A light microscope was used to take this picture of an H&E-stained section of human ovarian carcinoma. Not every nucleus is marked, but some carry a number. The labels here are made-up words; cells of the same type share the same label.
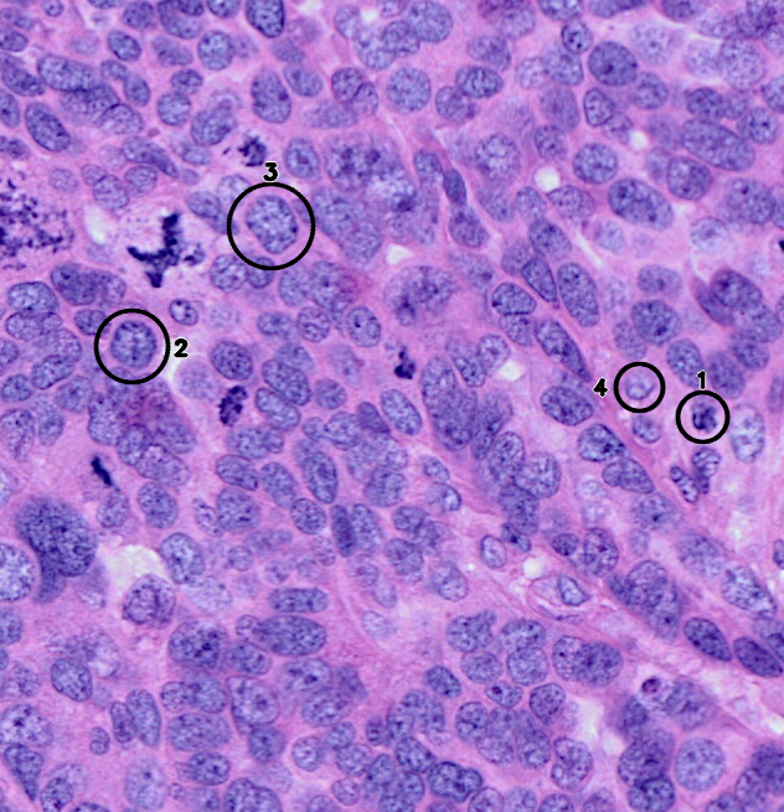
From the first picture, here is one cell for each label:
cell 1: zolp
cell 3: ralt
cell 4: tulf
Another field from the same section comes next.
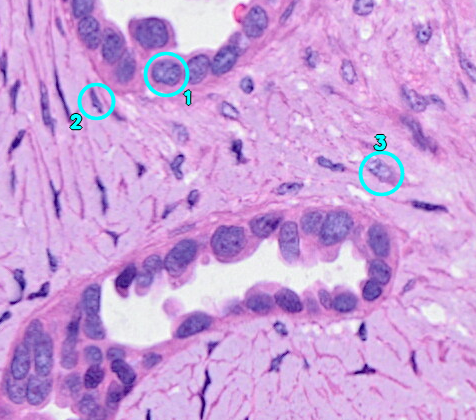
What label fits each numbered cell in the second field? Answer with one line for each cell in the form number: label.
1: ralt
2: tulf
3: tulf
